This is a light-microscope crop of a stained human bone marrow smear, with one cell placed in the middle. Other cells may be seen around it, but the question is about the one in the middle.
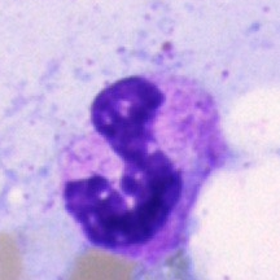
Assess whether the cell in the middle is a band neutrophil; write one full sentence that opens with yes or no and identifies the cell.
No, the central cell here is a segmented neutrophil; calling it a band neutrophil is not right.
